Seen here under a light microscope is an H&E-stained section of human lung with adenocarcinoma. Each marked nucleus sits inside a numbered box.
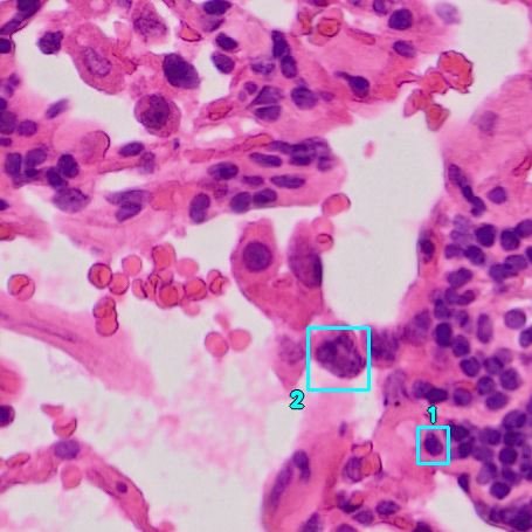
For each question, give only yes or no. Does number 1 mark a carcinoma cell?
no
